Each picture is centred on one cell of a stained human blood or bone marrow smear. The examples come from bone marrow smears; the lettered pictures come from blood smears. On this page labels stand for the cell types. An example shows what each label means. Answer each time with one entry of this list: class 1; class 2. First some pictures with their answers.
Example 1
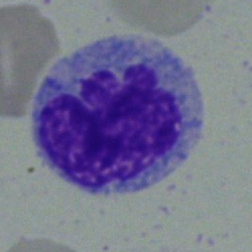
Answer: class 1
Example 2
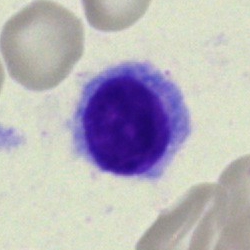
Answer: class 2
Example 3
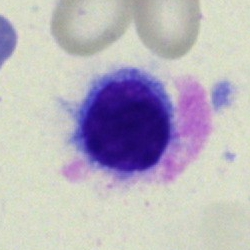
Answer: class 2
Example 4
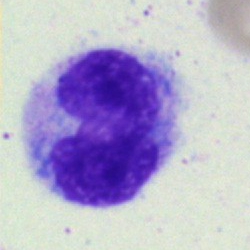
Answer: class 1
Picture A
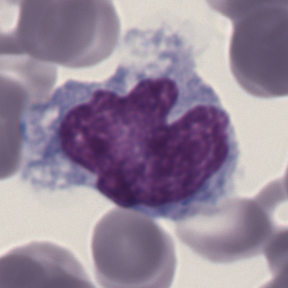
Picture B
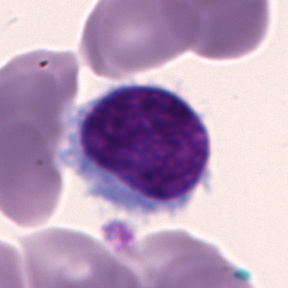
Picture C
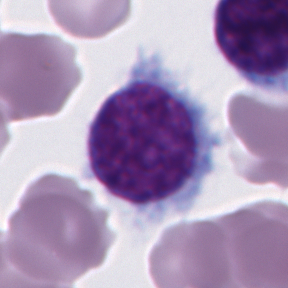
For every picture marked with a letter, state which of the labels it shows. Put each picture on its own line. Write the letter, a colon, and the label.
A: class 1
B: class 2
C: class 2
